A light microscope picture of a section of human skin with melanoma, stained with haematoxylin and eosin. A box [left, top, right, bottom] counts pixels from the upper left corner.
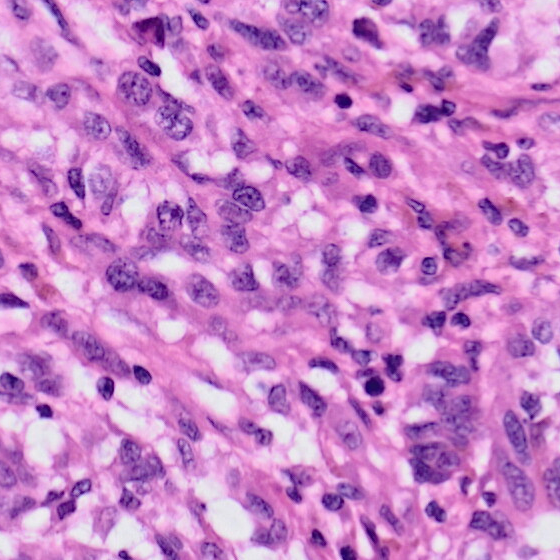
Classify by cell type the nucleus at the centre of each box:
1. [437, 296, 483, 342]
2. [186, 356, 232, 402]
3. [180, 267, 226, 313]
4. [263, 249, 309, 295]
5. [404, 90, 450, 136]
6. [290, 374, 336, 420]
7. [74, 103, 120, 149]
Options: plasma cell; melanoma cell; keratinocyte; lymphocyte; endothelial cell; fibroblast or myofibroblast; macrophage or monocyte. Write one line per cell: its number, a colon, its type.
1: lymphocyte
2: endothelial cell
3: melanoma cell
4: melanoma cell
5: plasma cell
6: melanoma cell
7: melanoma cell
